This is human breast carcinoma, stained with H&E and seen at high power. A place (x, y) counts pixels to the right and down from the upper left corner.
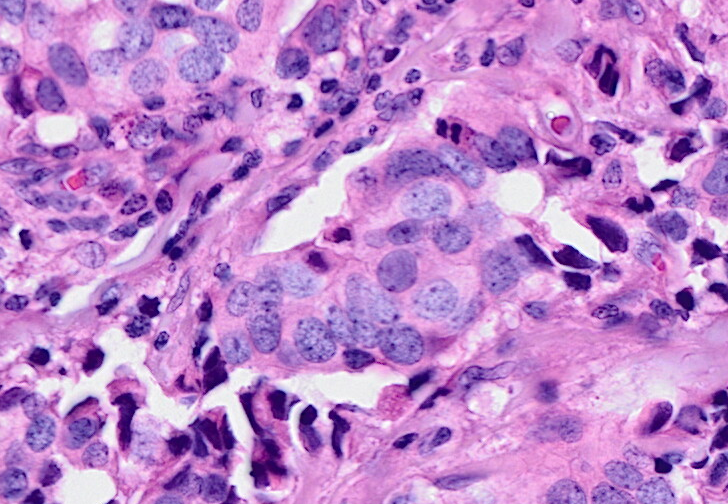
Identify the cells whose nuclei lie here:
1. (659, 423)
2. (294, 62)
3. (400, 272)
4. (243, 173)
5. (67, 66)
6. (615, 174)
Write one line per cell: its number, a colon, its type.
1: carcinoma cell
2: carcinoma cell
3: carcinoma cell
4: lymphocyte
5: carcinoma cell
6: macrophage, monocyte or dendritic cell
